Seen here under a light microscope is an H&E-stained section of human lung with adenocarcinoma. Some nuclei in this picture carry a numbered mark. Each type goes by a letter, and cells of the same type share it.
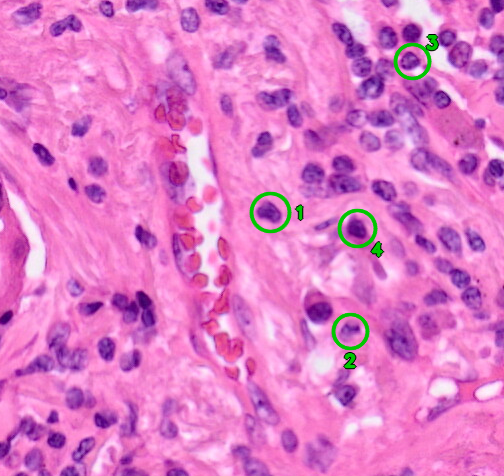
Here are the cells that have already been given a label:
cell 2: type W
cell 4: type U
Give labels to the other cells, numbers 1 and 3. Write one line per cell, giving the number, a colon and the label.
1: type W
3: type W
